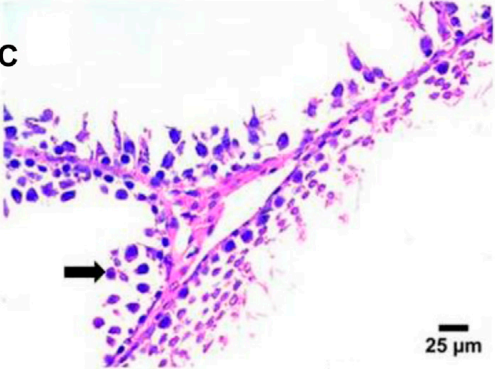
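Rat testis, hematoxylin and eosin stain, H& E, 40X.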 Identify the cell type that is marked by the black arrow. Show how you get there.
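The arrow points to loosely arranged cells with round purple nuclei inside the tubule wall. The cell layer is thin and the tubule centre is largely empty. That points to this answer: spermatogenic cells.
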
